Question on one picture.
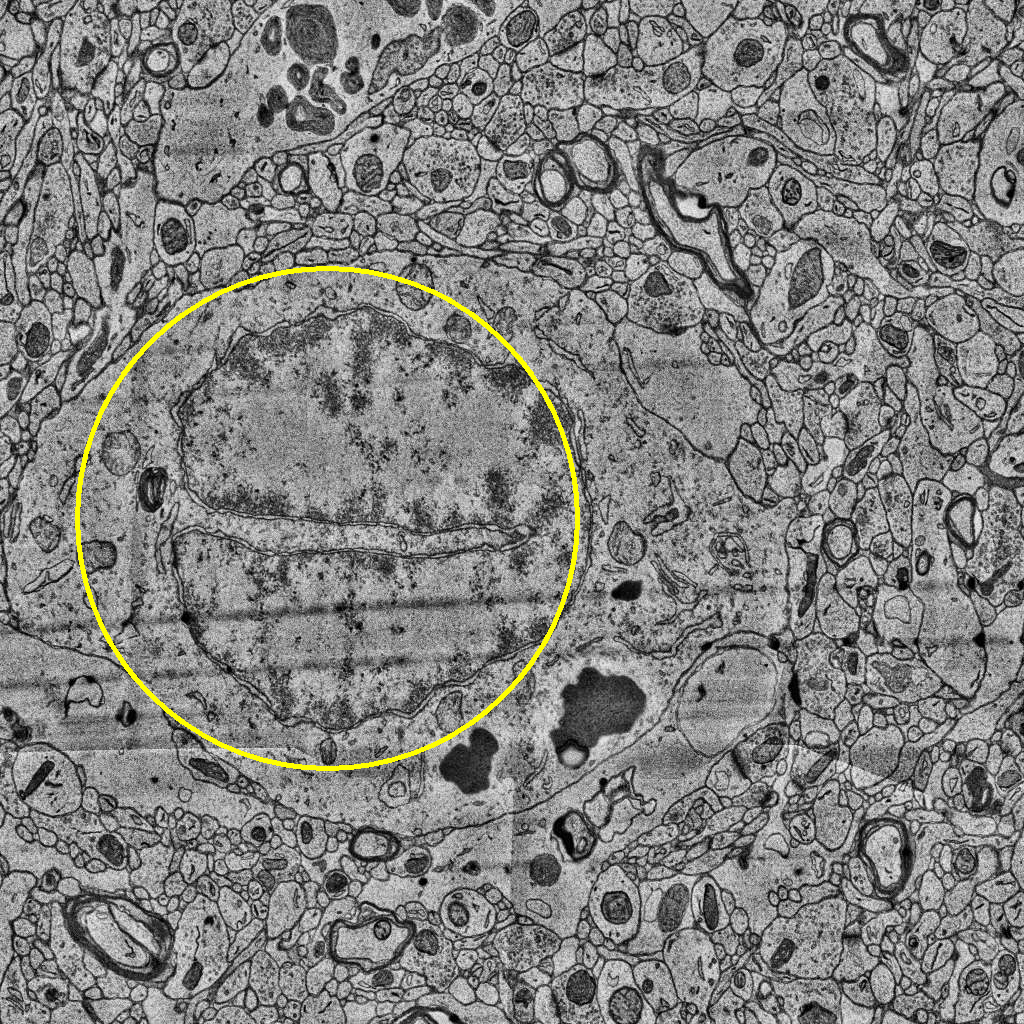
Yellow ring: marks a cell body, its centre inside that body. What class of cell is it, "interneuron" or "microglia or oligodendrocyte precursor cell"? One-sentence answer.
This is an interneuron, the cell at the ring's centre.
